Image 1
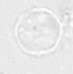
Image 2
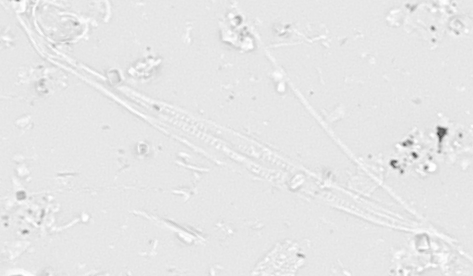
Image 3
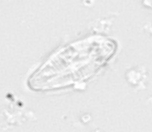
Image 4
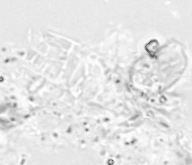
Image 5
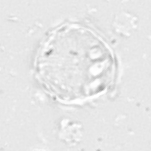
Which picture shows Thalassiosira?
Picture 1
